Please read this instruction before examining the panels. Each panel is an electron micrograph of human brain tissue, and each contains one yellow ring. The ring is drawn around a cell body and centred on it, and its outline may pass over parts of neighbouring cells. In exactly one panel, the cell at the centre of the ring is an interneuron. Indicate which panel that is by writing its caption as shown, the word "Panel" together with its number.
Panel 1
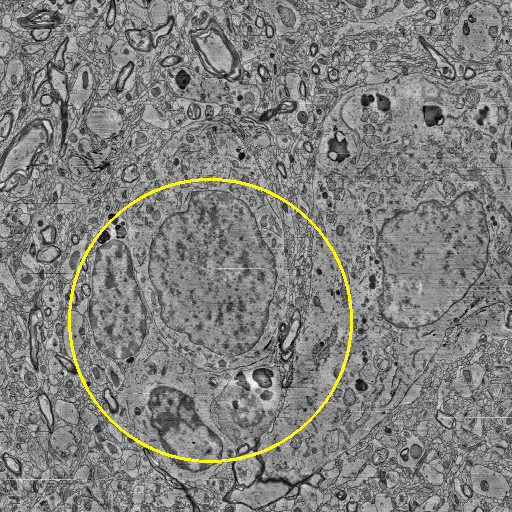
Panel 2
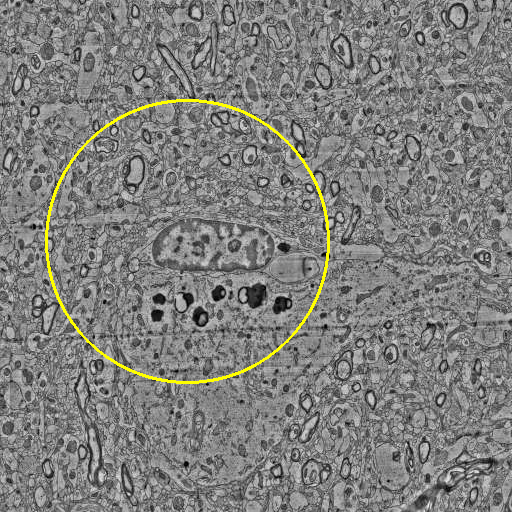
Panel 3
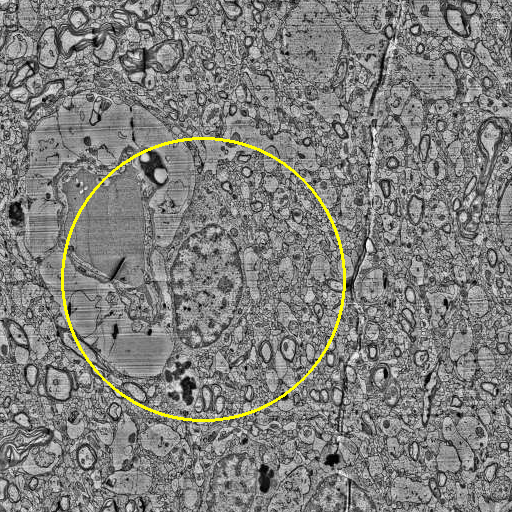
Panel 1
